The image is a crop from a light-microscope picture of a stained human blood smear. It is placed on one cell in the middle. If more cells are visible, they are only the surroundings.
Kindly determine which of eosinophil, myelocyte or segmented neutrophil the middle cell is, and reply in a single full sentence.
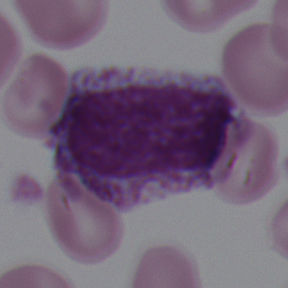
The cell of interest, located centrally, is a myelocyte.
